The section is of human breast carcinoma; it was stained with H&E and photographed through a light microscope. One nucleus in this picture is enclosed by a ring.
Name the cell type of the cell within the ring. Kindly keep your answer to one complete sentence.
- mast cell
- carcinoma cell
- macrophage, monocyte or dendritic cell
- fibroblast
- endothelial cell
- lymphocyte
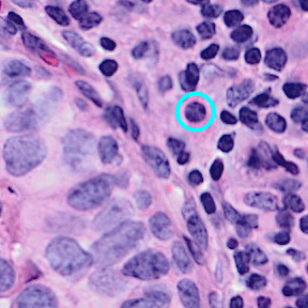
For cell typing purposes, the cell within the ring is a mast cell.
